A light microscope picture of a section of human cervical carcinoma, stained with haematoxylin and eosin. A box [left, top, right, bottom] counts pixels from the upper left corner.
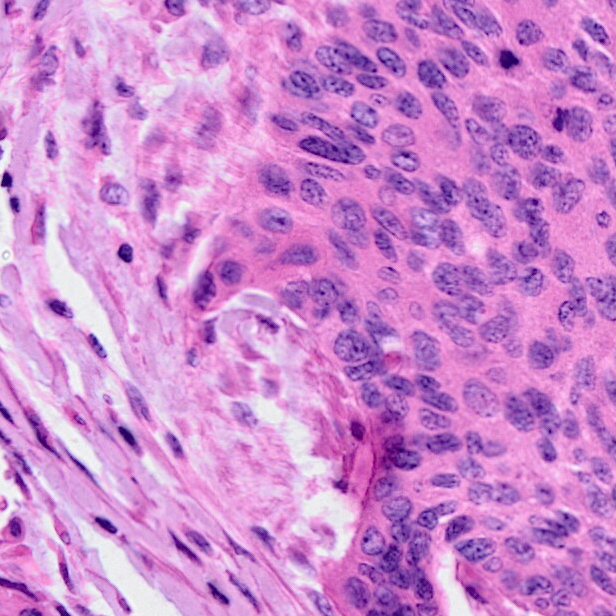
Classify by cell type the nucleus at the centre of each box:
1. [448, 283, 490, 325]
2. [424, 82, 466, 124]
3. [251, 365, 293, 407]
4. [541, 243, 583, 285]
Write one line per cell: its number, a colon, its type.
1: squamous carcinoma cell
2: squamous carcinoma cell
3: fibroblast
4: squamous carcinoma cell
